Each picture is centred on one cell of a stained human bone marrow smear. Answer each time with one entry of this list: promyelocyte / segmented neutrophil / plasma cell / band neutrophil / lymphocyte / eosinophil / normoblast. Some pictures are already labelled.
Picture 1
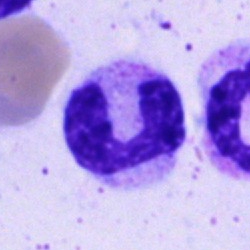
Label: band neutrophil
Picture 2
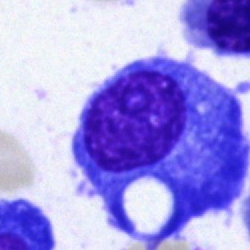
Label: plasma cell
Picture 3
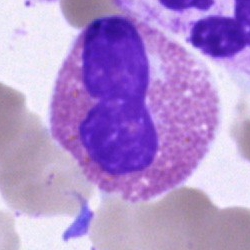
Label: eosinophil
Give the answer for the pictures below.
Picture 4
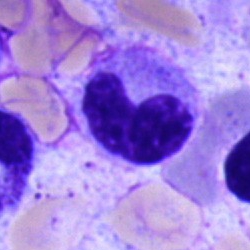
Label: band neutrophil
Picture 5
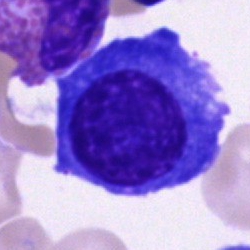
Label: plasma cell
